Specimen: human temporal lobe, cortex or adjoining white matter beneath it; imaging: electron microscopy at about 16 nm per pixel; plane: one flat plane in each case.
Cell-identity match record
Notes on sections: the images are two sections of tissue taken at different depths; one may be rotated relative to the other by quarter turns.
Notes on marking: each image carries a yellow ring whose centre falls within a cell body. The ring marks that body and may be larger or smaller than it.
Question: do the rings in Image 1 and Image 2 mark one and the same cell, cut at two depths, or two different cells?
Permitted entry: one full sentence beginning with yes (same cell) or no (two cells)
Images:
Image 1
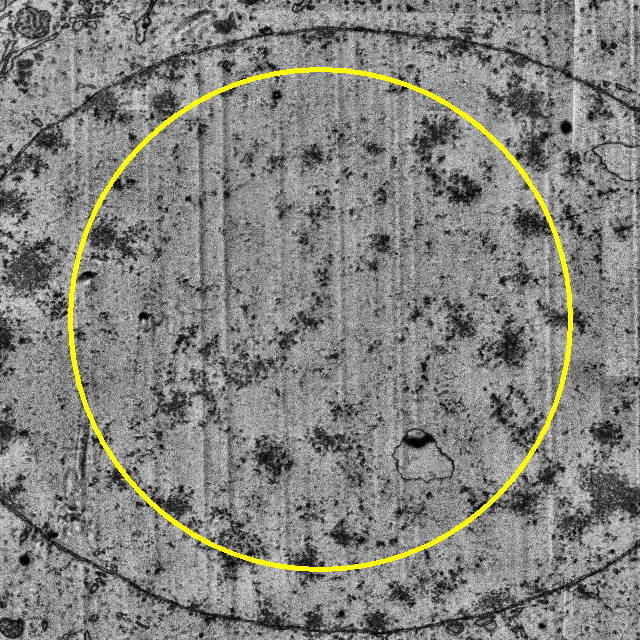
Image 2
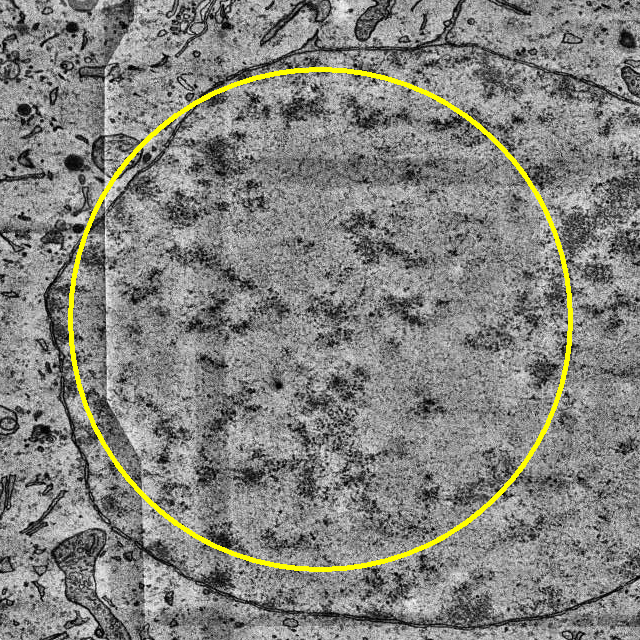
No, one ring and the other ring mark two distinct cells.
